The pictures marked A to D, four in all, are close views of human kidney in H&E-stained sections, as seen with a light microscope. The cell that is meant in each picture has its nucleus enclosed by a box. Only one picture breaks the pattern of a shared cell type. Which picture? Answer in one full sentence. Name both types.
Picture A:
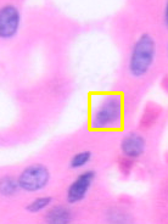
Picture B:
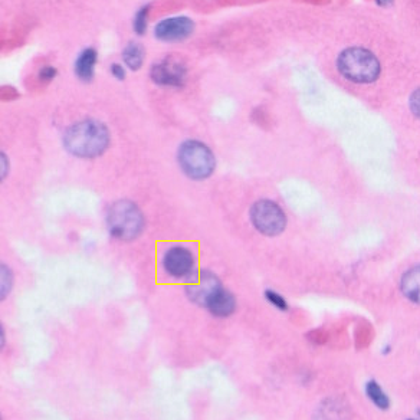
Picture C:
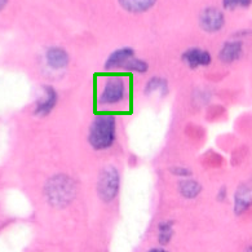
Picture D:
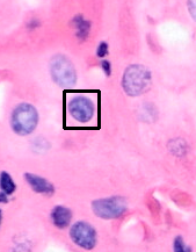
All pictures except B show collecting duct cells; picture B shows a proximal tubule cell.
